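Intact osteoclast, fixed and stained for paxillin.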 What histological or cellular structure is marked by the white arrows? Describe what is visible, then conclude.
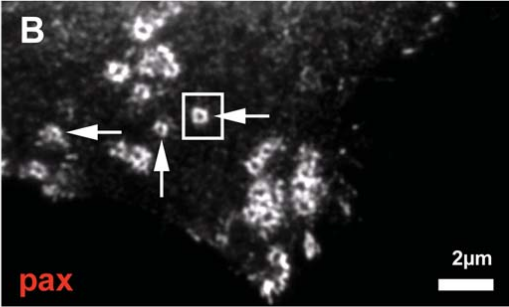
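The arrows point to small bright rings with dark centres. The marked rings stand apart from the clustered rings.
Individual podosomes.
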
